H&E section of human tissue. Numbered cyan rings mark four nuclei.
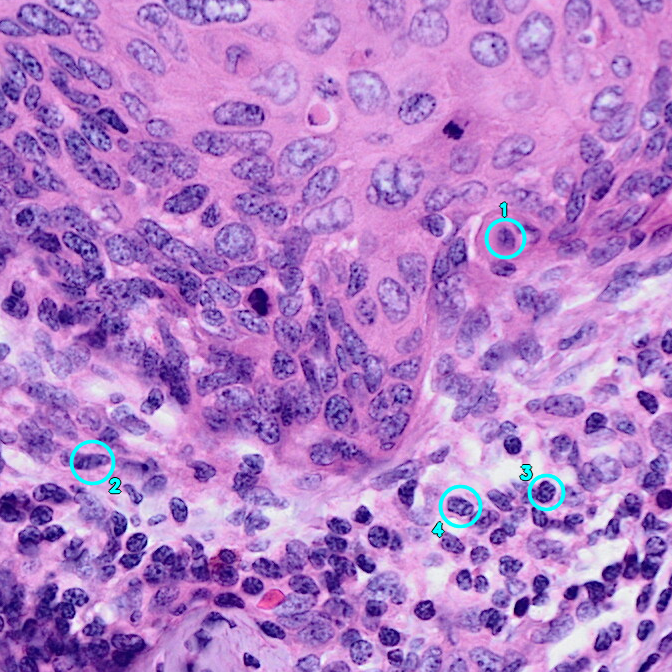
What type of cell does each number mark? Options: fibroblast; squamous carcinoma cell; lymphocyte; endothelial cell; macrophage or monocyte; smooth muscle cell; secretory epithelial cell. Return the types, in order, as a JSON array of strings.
["squamous carcinoma cell", "lymphocyte", "lymphocyte", "lymphocyte"]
